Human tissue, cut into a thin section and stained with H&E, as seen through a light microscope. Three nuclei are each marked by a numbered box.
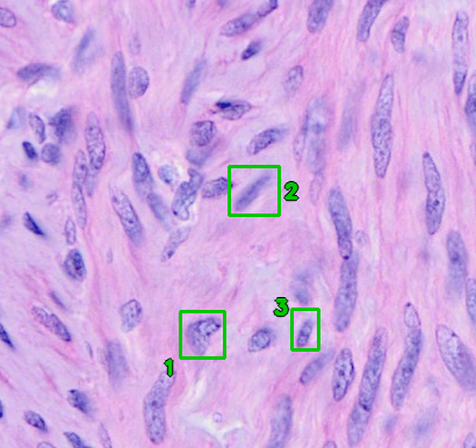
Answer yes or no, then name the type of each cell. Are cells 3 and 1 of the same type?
Yes, going by number, cells 3 and 1 are both smooth muscle cells.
